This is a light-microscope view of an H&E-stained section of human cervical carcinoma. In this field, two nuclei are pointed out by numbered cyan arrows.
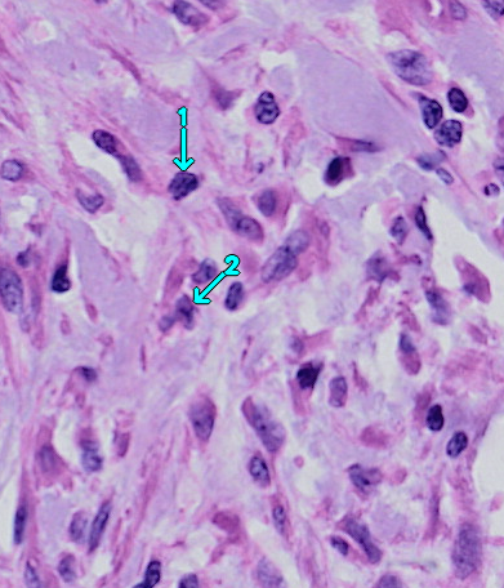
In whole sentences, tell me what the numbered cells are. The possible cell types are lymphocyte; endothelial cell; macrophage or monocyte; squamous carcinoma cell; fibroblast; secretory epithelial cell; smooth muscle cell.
Cell 1 is a lymphocyte. Cell 2 is a macrophage or monocyte.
